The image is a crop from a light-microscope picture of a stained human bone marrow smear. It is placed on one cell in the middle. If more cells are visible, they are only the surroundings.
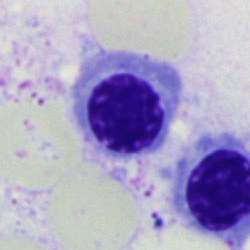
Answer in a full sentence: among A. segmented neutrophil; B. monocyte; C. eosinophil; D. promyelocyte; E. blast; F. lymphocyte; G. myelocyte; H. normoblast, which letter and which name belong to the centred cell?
Option H, which names the central cell as a normoblast, is correct.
